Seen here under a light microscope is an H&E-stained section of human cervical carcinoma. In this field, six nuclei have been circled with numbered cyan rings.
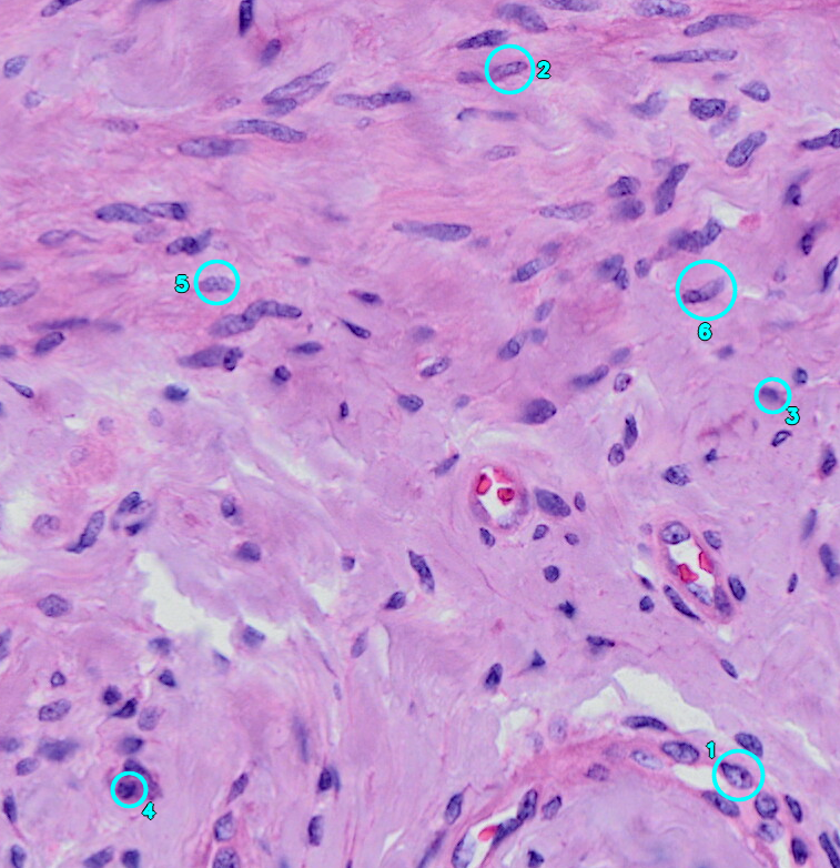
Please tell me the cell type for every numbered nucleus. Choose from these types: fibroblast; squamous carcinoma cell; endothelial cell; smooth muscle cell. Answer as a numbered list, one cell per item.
1. endothelial cell
2. smooth muscle cell
3. fibroblast
4. endothelial cell
5. smooth muscle cell
6. fibroblast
